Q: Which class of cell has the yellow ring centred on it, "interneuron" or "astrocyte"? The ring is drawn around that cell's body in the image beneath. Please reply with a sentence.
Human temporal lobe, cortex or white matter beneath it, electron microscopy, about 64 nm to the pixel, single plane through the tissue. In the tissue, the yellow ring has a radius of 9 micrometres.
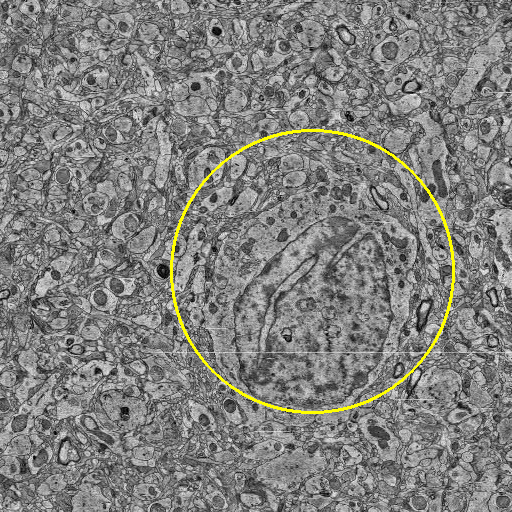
It is centred on an interneuron.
